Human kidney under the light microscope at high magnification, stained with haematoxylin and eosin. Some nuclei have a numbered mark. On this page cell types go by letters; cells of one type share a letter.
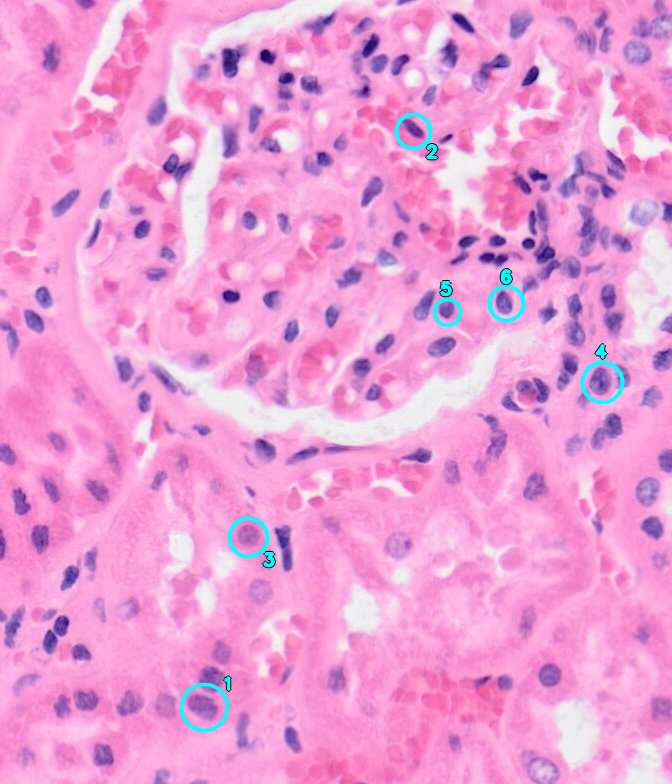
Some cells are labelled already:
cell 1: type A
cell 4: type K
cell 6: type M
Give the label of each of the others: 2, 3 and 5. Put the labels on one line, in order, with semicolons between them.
type M; type A; type M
